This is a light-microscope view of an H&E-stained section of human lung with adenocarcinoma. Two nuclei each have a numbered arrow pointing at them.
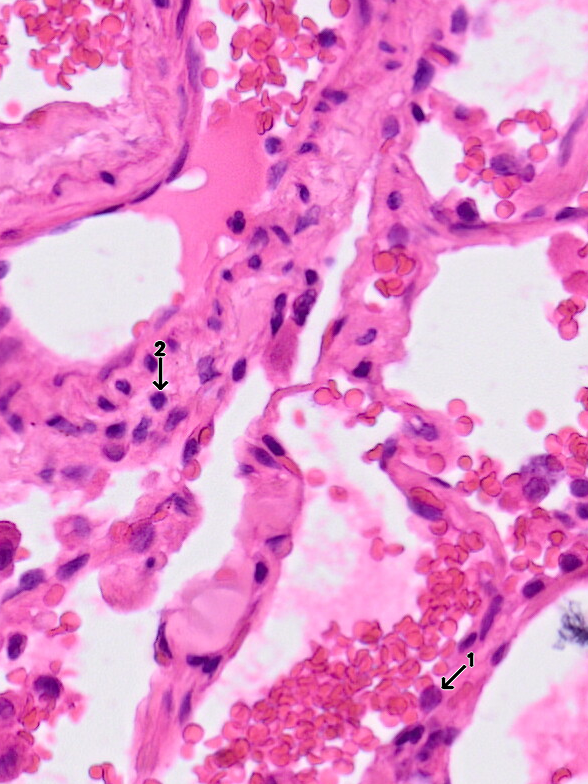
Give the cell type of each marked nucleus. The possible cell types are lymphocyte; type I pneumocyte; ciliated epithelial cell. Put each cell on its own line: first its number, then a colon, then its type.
1: type I pneumocyte
2: lymphocyte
